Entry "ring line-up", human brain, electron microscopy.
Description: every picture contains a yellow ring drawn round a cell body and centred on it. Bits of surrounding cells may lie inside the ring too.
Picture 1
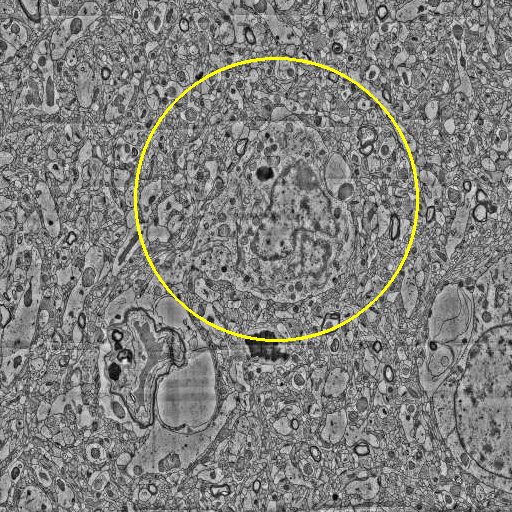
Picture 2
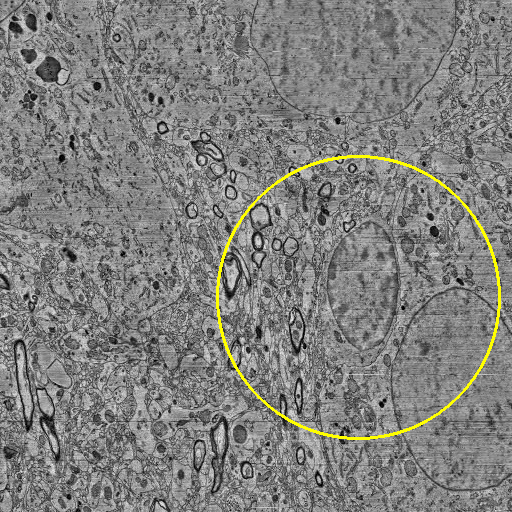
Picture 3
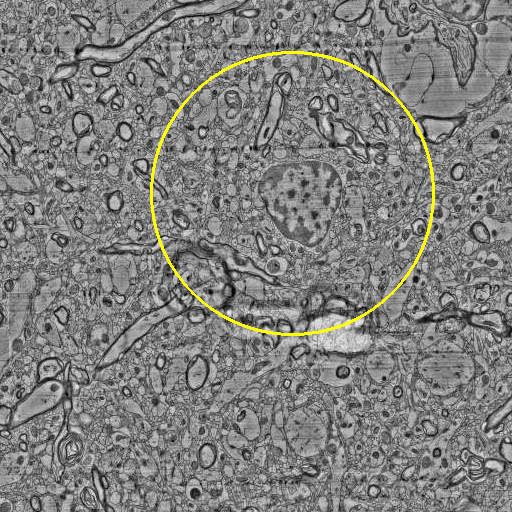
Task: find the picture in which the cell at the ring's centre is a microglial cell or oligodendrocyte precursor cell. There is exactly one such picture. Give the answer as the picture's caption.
Picture 3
